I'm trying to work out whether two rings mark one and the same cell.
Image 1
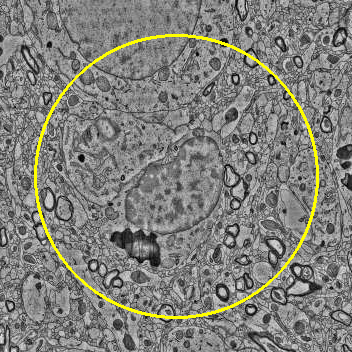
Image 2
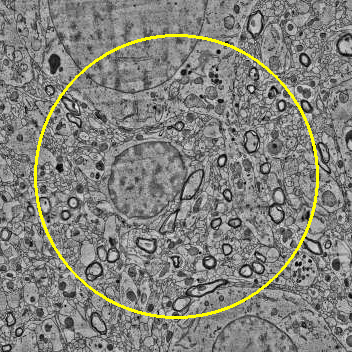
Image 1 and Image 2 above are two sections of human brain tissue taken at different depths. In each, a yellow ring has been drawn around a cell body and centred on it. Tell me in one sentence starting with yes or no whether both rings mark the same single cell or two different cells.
Yes, a single cell lies behind both yellow marks.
